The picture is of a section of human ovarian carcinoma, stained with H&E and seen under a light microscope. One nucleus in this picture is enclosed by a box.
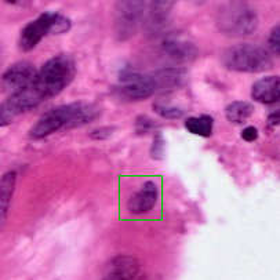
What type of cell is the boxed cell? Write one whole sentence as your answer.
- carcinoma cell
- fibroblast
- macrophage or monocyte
In this tissue section, the boxed cell is to be classed as a macrophage or monocyte.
